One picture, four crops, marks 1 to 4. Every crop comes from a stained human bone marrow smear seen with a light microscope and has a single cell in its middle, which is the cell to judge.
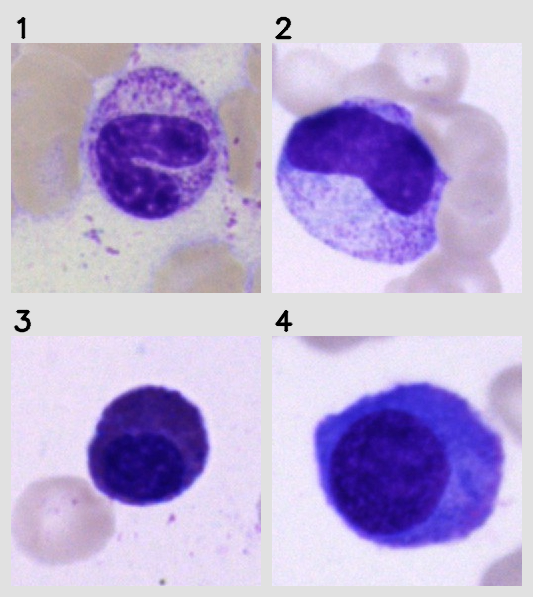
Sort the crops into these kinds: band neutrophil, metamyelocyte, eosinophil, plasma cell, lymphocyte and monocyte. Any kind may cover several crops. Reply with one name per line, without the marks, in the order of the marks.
band neutrophil
metamyelocyte
eosinophil
plasma cell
